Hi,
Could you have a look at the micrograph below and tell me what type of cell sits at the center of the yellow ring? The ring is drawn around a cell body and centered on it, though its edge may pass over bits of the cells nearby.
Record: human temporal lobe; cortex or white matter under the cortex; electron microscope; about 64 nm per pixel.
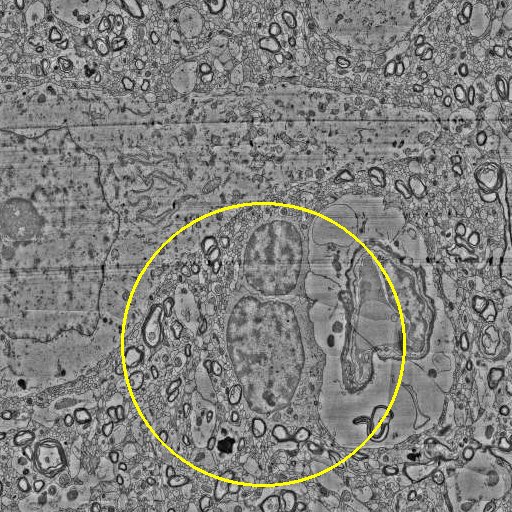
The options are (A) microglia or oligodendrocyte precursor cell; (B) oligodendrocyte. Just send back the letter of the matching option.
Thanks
B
